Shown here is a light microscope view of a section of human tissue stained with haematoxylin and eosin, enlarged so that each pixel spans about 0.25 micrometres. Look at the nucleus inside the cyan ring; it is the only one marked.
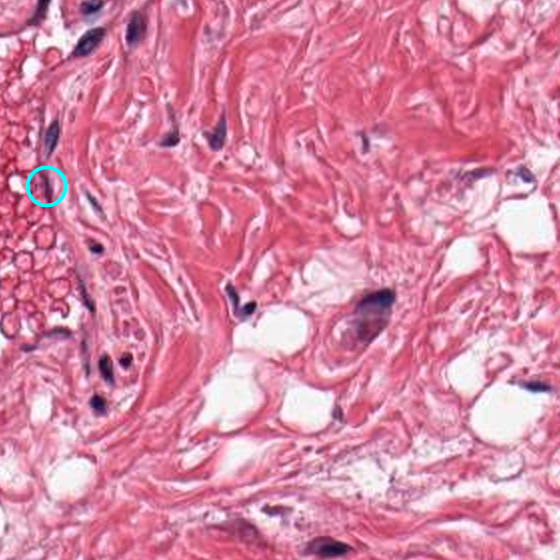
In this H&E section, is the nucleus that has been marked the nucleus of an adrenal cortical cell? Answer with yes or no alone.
no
